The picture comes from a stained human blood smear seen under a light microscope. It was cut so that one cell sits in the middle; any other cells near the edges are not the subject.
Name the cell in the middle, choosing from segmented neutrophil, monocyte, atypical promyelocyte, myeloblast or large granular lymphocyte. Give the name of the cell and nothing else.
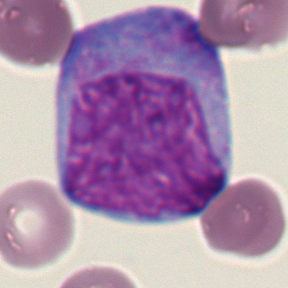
atypical promyelocyte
